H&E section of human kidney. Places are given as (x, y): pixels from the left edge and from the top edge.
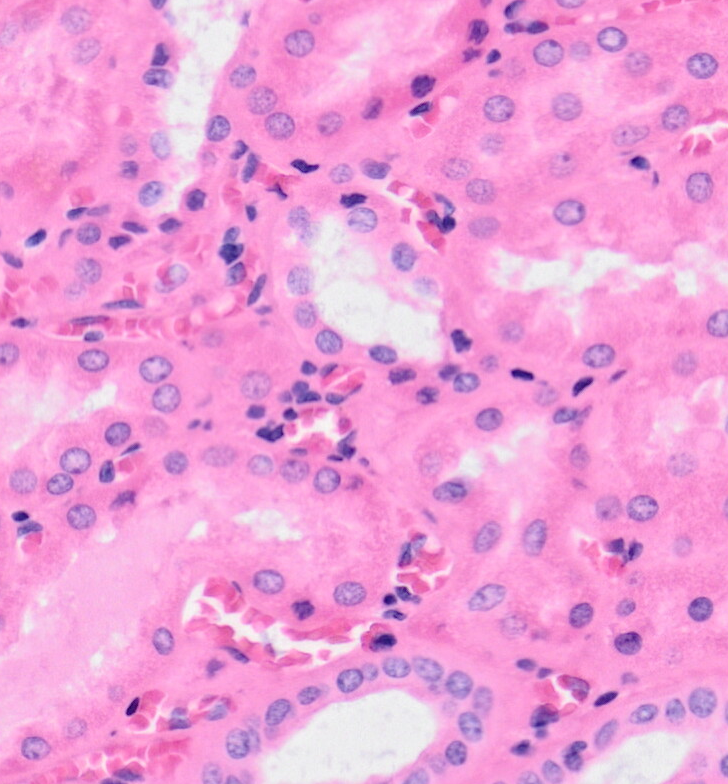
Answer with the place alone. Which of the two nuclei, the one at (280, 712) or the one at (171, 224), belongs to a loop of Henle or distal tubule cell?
(171, 224)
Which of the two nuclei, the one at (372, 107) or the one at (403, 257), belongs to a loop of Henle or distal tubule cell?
(403, 257)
